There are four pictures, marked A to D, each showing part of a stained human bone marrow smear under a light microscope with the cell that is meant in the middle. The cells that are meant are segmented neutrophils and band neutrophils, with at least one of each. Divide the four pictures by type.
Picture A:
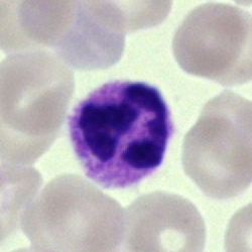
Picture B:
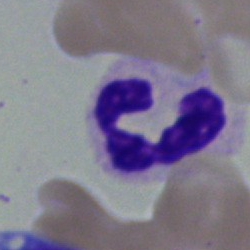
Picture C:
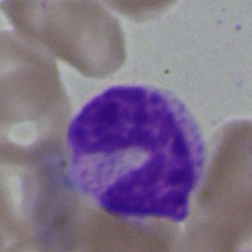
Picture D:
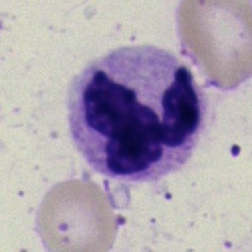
A: segmented neutrophil
B: segmented neutrophil
C: band neutrophil
D: segmented neutrophil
